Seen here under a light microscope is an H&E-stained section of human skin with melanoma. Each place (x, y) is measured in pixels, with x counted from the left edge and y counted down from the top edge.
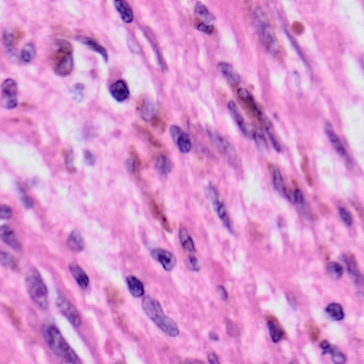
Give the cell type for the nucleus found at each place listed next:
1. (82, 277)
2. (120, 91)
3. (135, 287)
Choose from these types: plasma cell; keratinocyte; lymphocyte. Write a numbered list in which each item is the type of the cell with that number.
1. lymphocyte
2. plasma cell
3. lymphocyte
